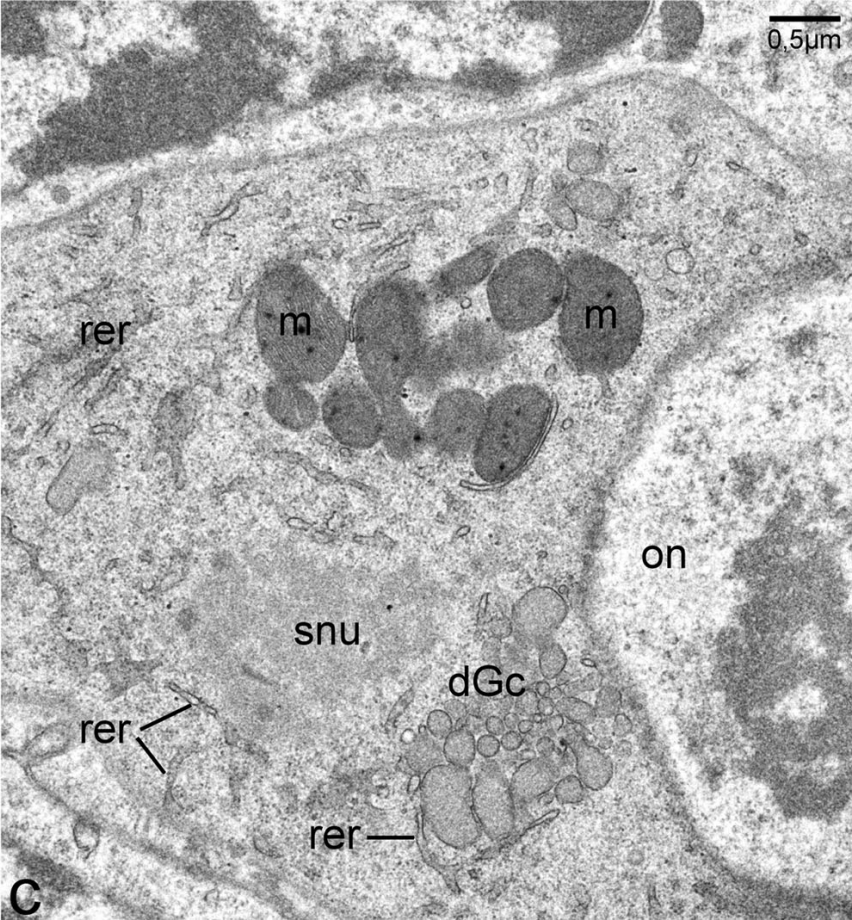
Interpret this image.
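Transmission electron micrograph of part of an oocyte cytoplasm, showing a cluster of rounded, electron-dense mitochondria beside a pale, finely granular, poorly bounded accumulation of nuage. The oocyte nucleus, with pale nucleoplasm and clumped chromatin, lies at the right.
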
